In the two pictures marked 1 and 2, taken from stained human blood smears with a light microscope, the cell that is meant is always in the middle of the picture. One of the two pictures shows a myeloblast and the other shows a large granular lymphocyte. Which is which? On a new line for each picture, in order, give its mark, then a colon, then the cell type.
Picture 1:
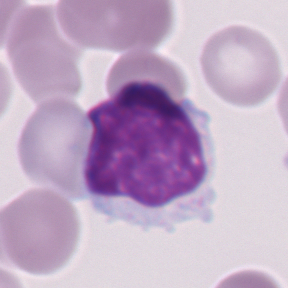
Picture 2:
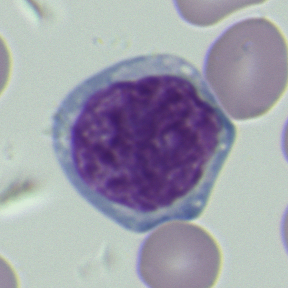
1: large granular lymphocyte
2: myeloblast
